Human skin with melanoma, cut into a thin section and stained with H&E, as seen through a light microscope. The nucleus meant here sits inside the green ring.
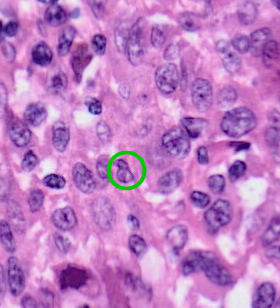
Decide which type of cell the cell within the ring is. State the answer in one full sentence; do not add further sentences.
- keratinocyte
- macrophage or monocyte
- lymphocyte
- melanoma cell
As for its identity, the cell within the ring is a macrophage or monocyte.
